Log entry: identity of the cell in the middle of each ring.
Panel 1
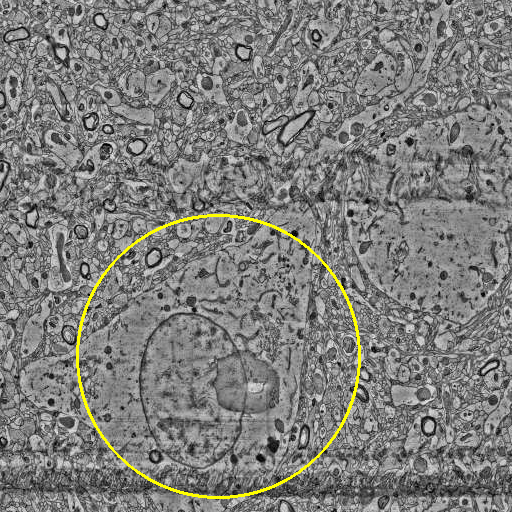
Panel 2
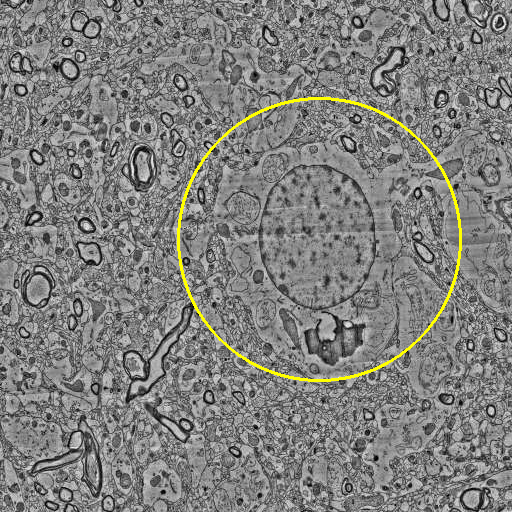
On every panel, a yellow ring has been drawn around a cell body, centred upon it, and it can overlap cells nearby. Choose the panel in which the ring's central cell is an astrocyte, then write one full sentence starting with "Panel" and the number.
Panel 2 shows the requested cell sitting in the middle of its ring.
